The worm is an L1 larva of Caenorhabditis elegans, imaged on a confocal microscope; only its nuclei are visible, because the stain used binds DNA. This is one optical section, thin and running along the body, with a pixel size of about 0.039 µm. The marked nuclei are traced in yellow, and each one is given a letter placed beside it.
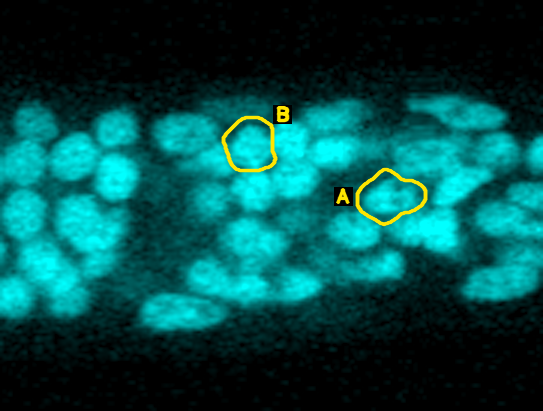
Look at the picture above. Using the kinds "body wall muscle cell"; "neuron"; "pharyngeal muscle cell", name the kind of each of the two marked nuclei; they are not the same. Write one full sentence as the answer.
One is from a pharyngeal muscle cell, namely A, and the other, B, is from a neuron.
